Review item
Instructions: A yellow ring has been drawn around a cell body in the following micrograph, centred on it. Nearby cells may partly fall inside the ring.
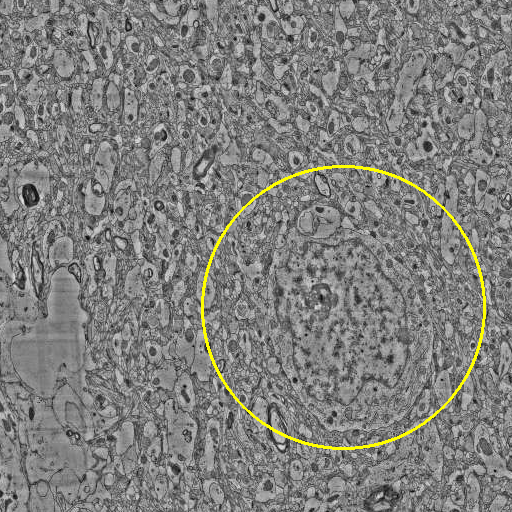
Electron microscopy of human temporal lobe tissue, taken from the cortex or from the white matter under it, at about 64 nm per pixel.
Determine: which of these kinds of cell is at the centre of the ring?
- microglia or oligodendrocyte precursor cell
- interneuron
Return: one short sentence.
The cell body in the middle of the ring is that of an interneuron.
